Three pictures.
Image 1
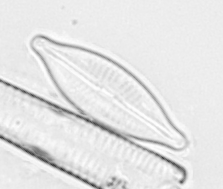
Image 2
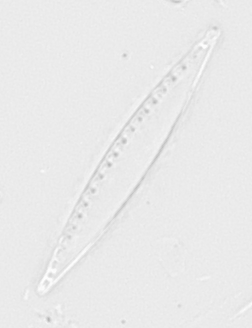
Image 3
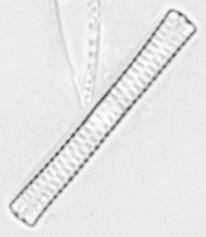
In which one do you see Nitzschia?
In picture 2.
